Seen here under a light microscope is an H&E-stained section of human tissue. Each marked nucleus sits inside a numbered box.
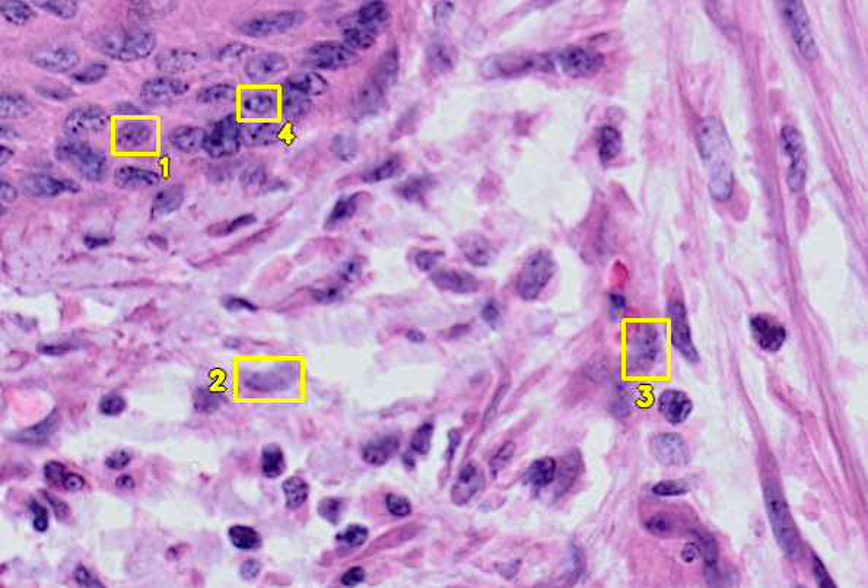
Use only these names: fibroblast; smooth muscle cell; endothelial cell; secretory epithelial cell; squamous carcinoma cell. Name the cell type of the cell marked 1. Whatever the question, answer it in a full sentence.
The cell to which the number 1 is assigned is a squamous carcinoma cell.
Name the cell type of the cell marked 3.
At number 3, the marked cell is an endothelial cell.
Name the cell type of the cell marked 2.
The cell bearing label 2 corresponds to a fibroblast.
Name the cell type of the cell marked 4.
The cell marked with number 4 is a squamous carcinoma cell.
